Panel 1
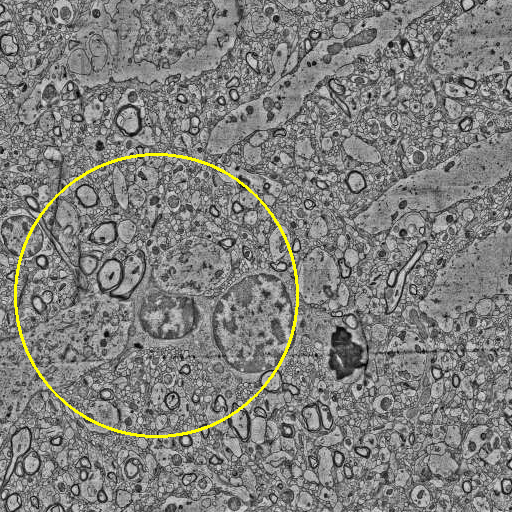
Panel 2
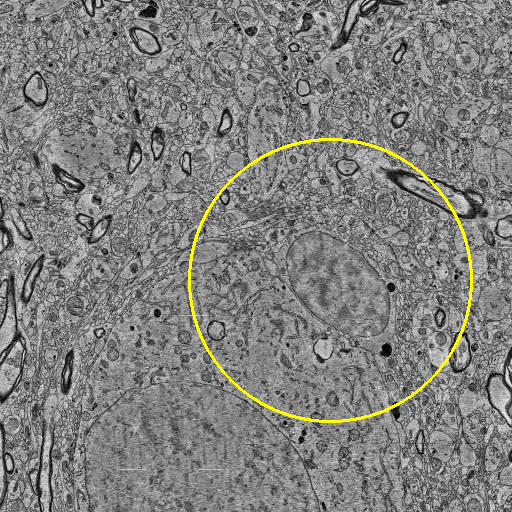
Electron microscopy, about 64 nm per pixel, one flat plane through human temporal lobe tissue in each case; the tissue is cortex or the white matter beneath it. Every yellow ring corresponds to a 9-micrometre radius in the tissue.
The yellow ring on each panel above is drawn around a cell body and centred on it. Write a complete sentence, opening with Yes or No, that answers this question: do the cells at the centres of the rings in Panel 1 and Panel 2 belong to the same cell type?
Yes, both cells belong to the same cell type.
